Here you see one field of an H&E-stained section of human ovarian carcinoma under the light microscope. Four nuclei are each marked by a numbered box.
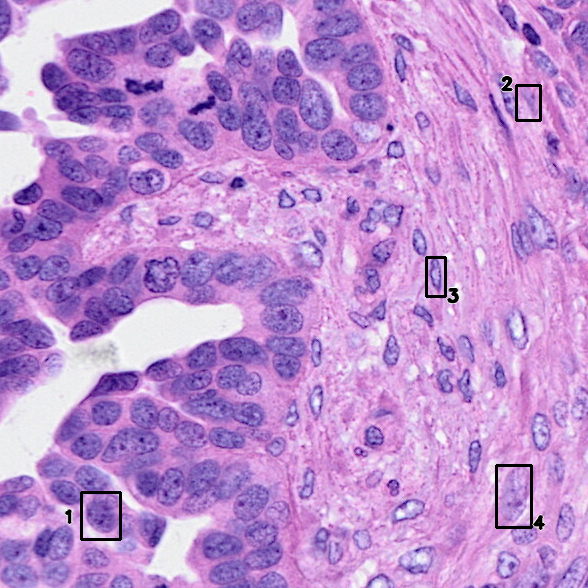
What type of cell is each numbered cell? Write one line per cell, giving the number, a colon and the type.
1: carcinoma cell
2: fibroblast
3: fibroblast
4: fibroblast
